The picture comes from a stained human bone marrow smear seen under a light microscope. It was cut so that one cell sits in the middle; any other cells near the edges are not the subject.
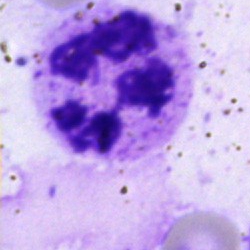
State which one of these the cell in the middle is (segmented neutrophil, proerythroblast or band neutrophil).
segmented neutrophil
